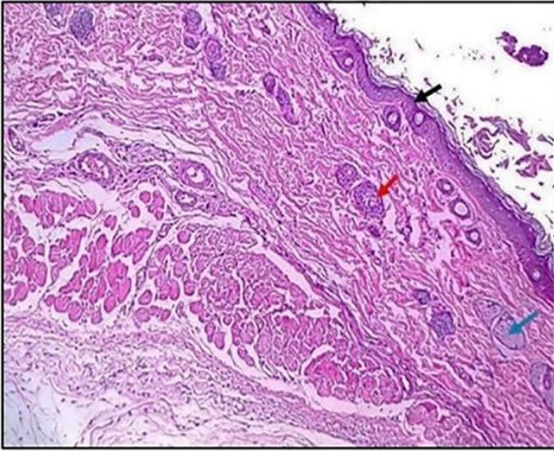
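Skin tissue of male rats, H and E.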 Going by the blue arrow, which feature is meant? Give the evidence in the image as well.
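Lobule of pale, vacuolated cells in the upper dermis. Lies beside a follicle structure.
Answer: sebaceous glands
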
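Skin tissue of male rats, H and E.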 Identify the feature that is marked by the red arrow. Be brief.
hair follicles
